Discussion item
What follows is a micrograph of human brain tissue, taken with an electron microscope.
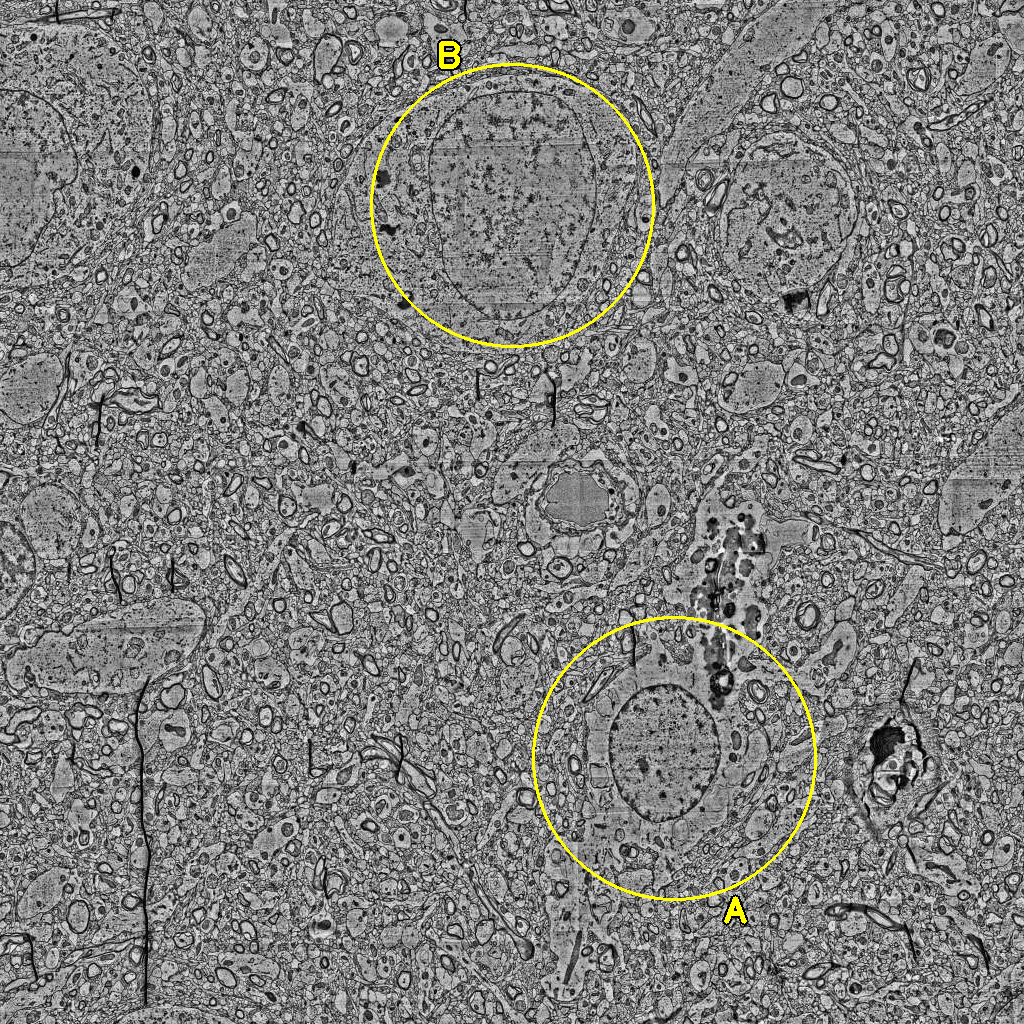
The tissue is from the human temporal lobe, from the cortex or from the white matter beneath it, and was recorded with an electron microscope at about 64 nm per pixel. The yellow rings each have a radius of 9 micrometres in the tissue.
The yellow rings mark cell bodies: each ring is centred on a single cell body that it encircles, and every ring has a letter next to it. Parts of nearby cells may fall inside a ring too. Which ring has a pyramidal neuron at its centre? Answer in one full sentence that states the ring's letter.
Ring B is the ring whose centre falls on the cell the question asks about.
